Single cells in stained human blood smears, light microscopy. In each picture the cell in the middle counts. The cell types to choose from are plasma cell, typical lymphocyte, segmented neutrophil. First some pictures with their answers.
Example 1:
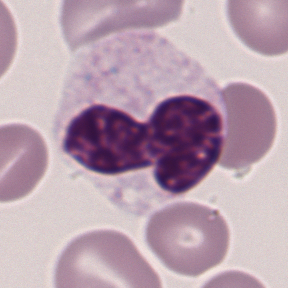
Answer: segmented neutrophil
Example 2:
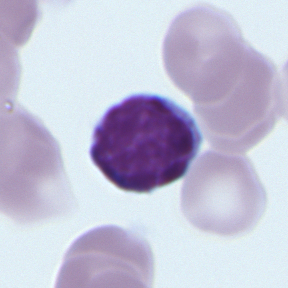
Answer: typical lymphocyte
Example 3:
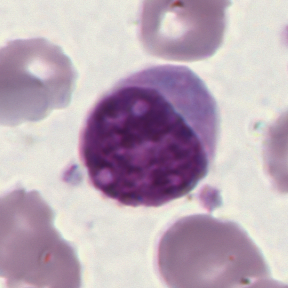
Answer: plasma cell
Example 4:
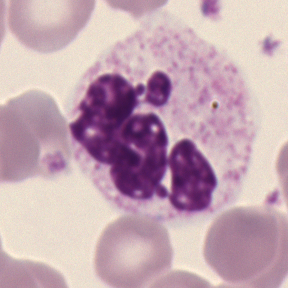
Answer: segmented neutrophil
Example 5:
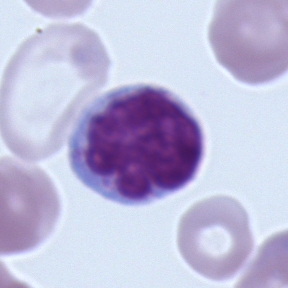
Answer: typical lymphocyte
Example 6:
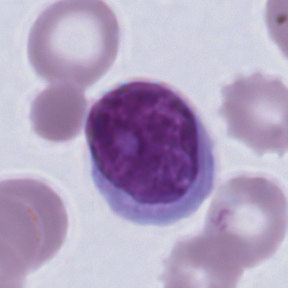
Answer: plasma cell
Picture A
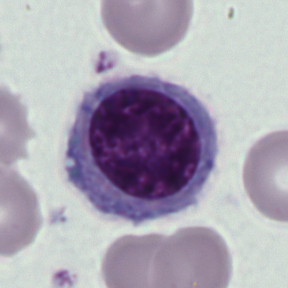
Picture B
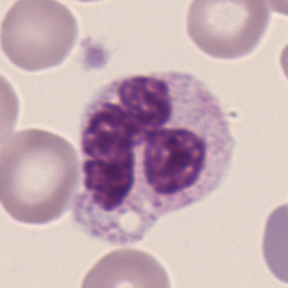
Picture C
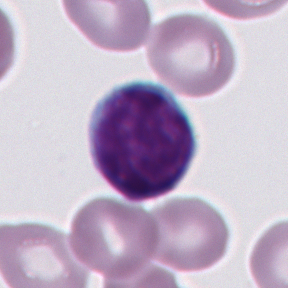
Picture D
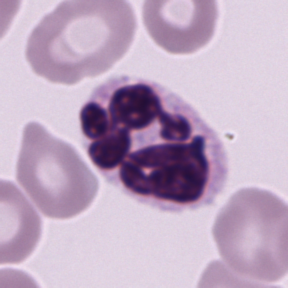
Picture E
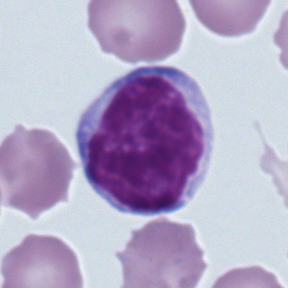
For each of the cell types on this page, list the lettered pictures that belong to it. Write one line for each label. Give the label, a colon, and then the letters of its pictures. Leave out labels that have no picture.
plasma cell: A
typical lymphocyte: C, E
segmented neutrophil: B, D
